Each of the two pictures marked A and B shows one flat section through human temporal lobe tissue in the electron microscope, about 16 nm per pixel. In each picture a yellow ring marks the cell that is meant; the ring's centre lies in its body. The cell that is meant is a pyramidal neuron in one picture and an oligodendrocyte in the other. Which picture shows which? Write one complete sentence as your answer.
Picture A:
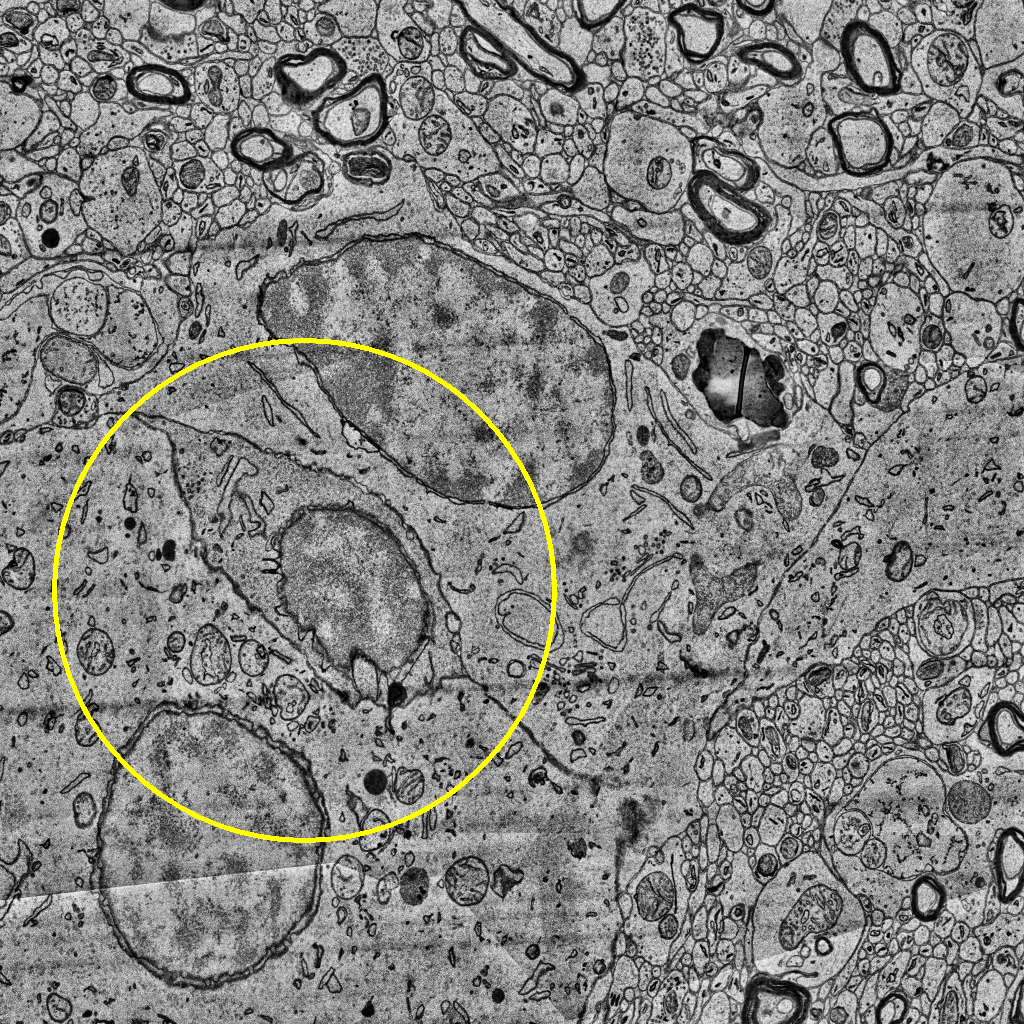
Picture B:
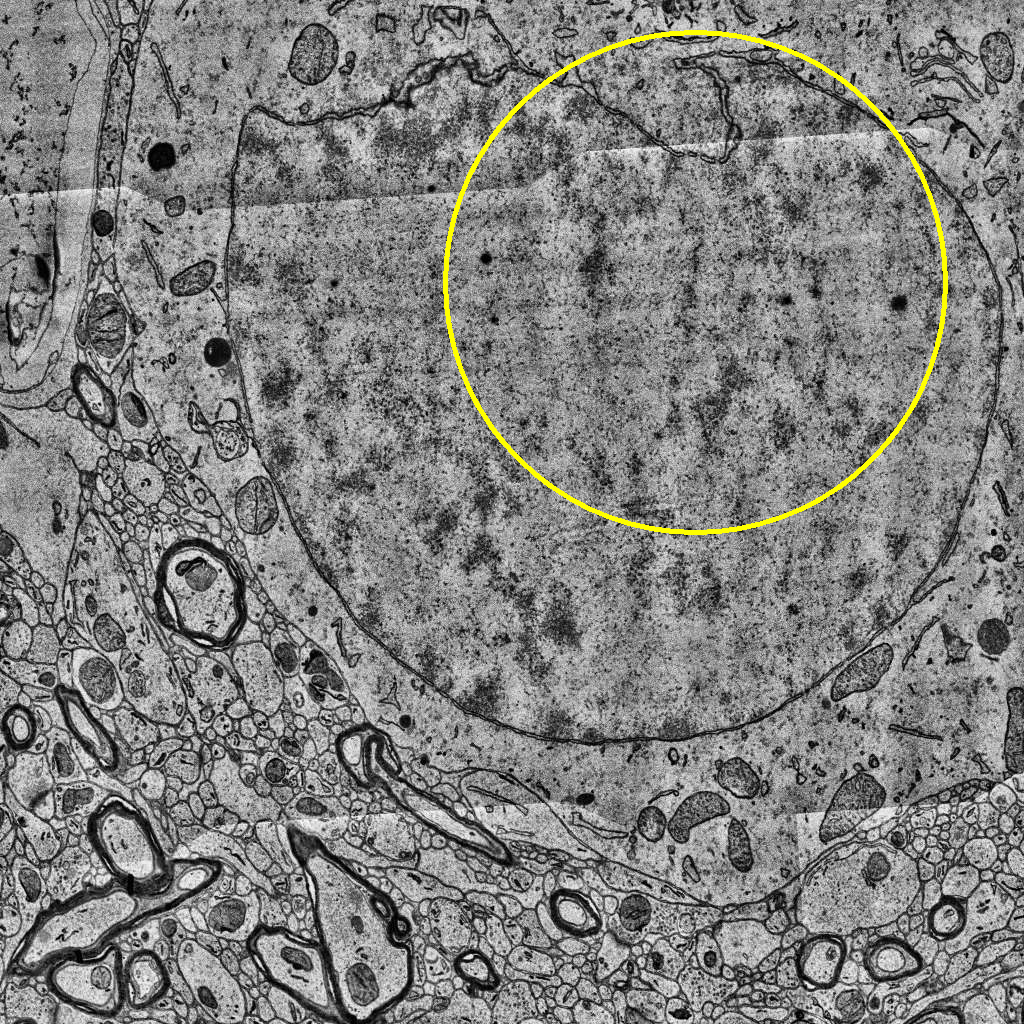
Picture A shows an oligodendrocyte and picture B shows a pyramidal neuron.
